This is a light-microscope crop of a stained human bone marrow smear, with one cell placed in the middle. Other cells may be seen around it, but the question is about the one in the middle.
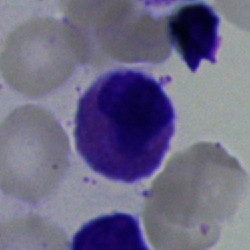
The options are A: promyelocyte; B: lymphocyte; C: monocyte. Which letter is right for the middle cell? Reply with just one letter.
B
